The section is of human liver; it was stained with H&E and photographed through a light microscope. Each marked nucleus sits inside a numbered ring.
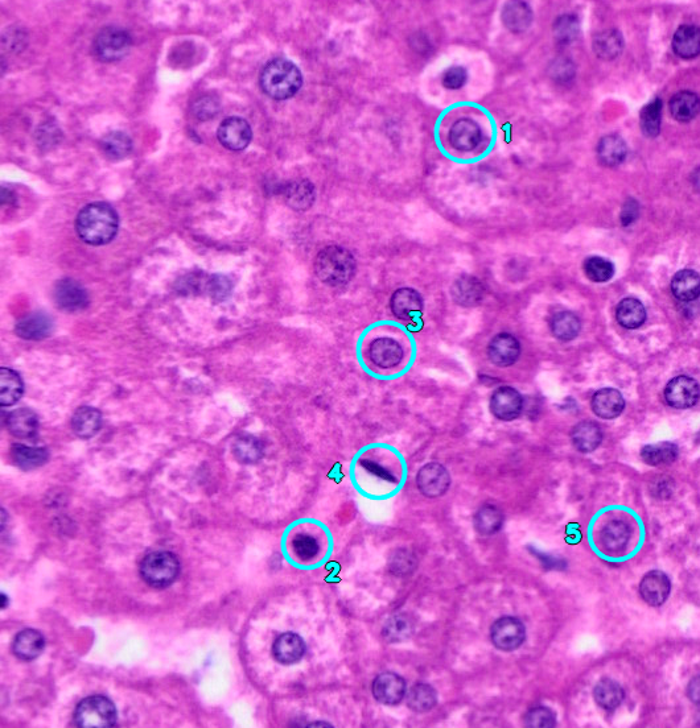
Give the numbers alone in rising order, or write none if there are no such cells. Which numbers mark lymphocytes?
2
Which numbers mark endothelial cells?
4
